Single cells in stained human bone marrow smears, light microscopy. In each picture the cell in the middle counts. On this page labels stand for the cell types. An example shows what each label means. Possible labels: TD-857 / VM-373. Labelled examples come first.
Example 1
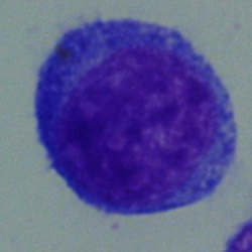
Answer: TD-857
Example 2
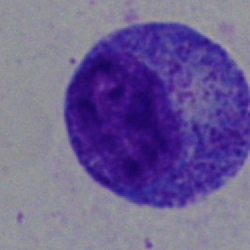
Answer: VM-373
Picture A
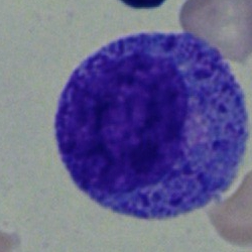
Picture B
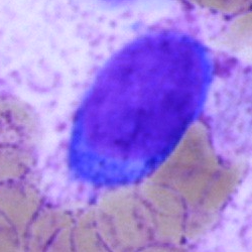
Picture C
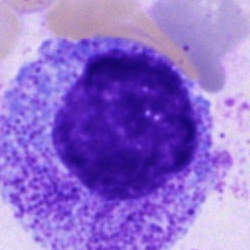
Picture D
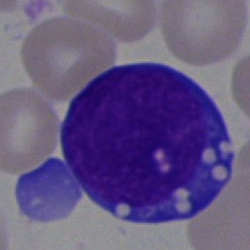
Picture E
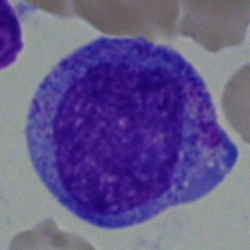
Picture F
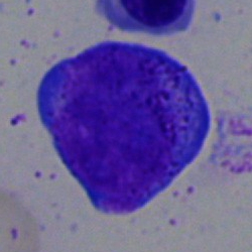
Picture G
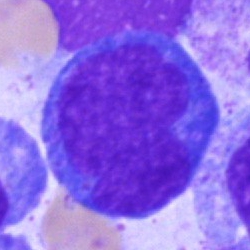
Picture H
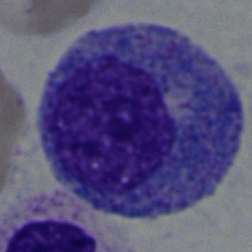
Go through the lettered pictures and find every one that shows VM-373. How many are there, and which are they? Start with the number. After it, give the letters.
5, namely A, C, E, F, H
